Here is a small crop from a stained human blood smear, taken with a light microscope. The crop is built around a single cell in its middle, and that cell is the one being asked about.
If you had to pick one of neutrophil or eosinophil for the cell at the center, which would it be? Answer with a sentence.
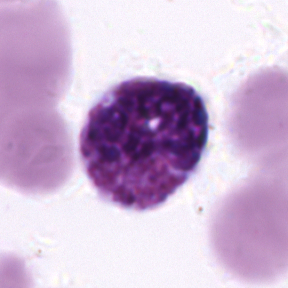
Occupying the centre of the crop is an eosinophil.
